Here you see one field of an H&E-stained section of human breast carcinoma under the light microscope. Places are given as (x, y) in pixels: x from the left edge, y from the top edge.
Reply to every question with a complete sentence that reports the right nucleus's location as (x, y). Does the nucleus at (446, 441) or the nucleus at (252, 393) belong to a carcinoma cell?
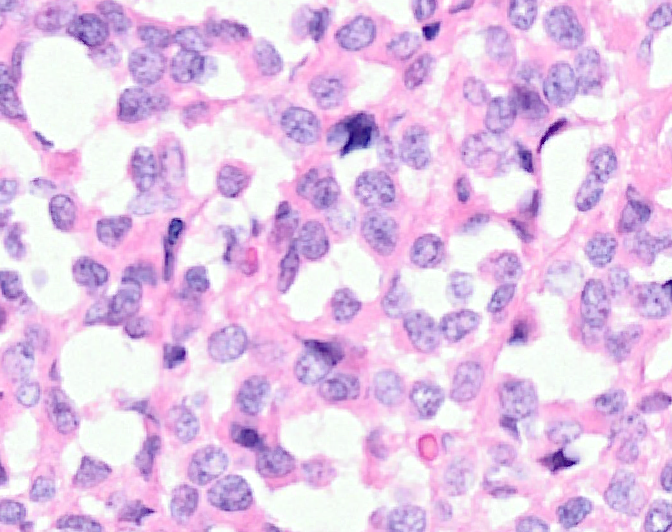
Of the two nuclei, that at (252, 393) is the nucleus of a carcinoma cell.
